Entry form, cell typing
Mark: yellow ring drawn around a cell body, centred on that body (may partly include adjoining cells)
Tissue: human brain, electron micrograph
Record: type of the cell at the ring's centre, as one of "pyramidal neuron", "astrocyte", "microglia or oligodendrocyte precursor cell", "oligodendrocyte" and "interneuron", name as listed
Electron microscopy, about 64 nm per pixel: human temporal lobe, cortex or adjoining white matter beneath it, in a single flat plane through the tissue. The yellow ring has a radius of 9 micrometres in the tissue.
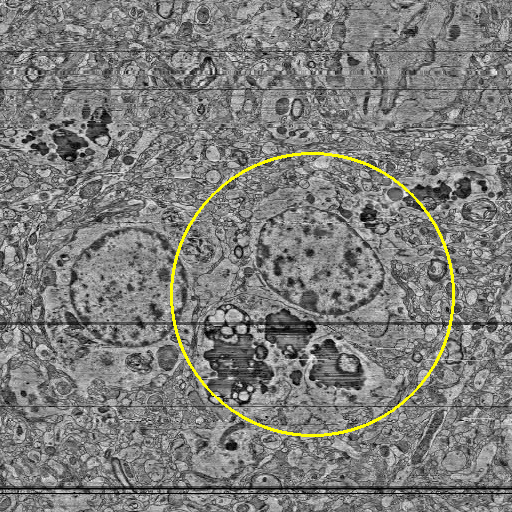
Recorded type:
astrocyte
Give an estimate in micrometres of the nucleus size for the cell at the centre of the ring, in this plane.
About 8 by 7 micrometers, in this plane.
